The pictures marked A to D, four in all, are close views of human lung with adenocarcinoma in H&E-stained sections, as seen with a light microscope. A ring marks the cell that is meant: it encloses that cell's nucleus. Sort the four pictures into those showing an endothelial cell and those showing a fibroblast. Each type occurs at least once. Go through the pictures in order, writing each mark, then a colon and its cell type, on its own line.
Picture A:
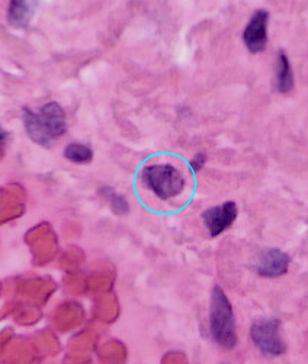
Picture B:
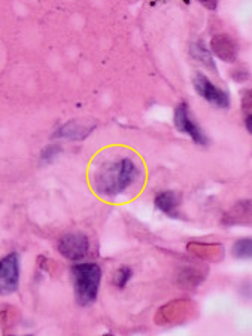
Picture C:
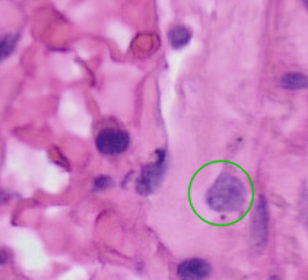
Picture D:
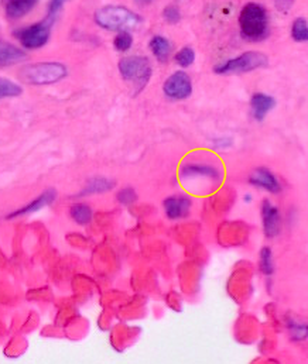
A: fibroblast
B: fibroblast
C: fibroblast
D: endothelial cell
